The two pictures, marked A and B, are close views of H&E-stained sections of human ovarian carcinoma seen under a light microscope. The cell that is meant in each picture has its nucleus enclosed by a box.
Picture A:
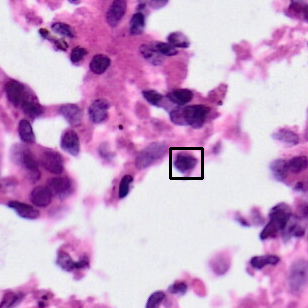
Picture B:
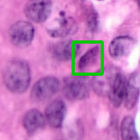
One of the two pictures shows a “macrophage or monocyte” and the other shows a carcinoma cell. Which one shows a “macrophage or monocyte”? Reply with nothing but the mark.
A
